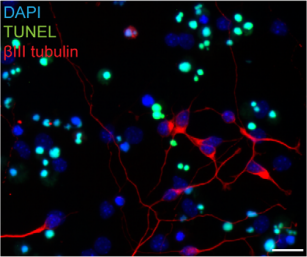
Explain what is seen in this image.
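Neurons with small red cell bodies send long, thin processes across the field, forming a sparse network. Many small, round, bright green condensed nuclei are scattered among ordinary blue nuclei, mostly lying apart from the red neurons rather than against them.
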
